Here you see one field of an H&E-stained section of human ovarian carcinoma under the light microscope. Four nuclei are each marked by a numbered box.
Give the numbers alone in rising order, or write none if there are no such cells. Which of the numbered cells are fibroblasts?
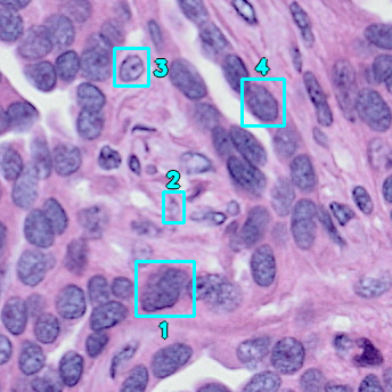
2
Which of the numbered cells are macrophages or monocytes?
3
